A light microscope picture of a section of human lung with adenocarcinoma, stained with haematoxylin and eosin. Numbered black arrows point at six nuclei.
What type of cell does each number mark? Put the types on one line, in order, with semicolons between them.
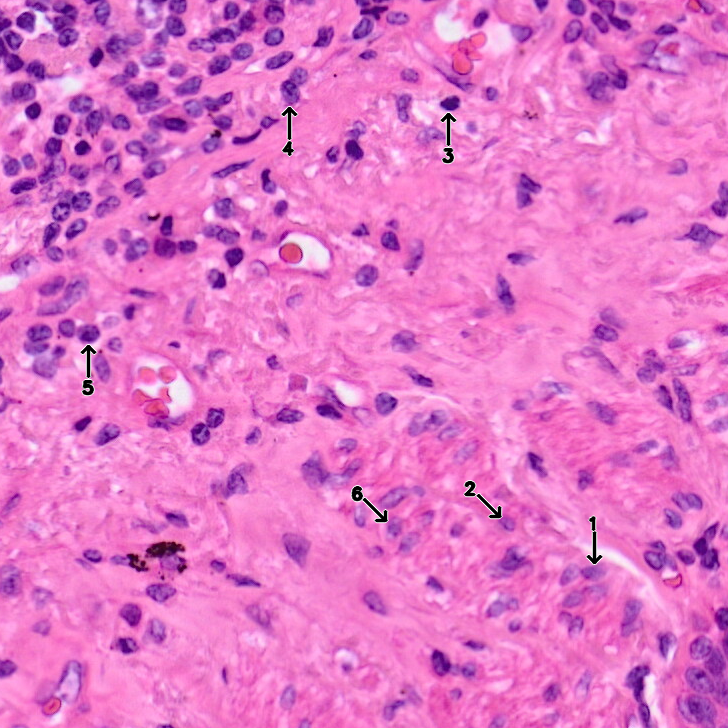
smooth muscle cell or pericyte; smooth muscle cell or pericyte; lymphocyte; lymphocyte; lymphocyte; smooth muscle cell or pericyte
